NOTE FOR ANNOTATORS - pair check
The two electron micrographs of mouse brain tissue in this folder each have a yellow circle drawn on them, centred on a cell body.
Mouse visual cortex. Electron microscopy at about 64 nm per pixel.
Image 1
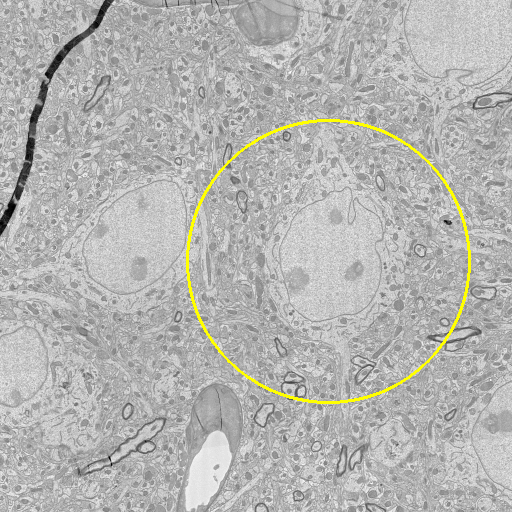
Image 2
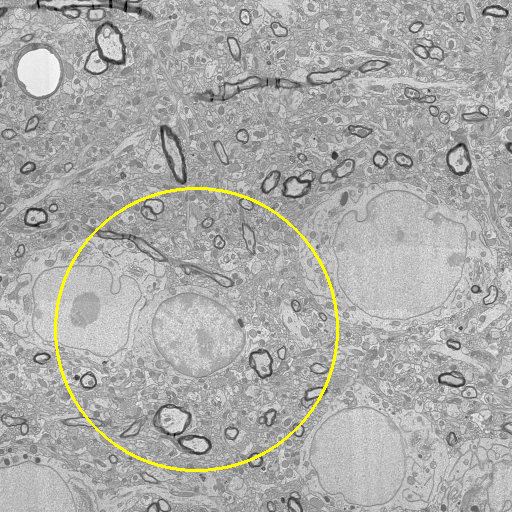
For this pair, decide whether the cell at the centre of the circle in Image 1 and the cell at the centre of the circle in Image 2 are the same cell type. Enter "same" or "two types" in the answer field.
two types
